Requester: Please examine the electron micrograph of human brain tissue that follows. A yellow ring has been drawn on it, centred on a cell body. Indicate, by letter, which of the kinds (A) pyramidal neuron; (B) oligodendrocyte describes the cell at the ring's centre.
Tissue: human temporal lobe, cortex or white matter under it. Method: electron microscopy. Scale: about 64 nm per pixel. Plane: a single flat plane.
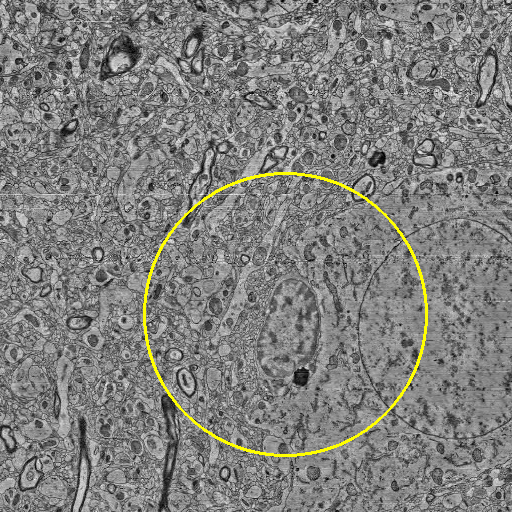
B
